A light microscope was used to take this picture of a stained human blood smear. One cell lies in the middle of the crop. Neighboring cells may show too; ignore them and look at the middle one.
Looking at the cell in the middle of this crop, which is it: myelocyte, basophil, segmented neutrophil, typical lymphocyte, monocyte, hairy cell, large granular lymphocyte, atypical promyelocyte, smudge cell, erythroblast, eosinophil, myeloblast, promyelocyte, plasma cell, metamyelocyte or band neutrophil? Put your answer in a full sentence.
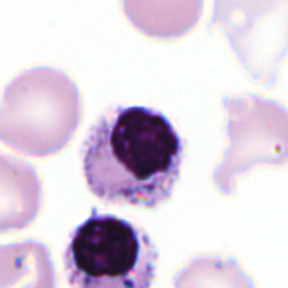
The cell sitting right in the middle is an erythroblast.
